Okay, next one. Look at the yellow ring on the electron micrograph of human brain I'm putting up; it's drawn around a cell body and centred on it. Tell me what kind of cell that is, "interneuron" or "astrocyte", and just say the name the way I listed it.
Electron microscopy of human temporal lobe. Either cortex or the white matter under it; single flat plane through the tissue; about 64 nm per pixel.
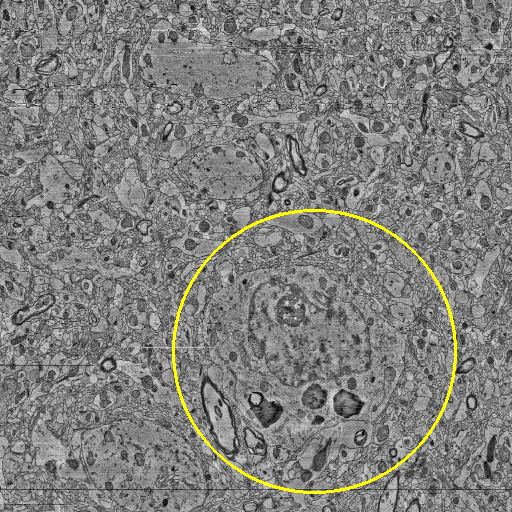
interneuron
